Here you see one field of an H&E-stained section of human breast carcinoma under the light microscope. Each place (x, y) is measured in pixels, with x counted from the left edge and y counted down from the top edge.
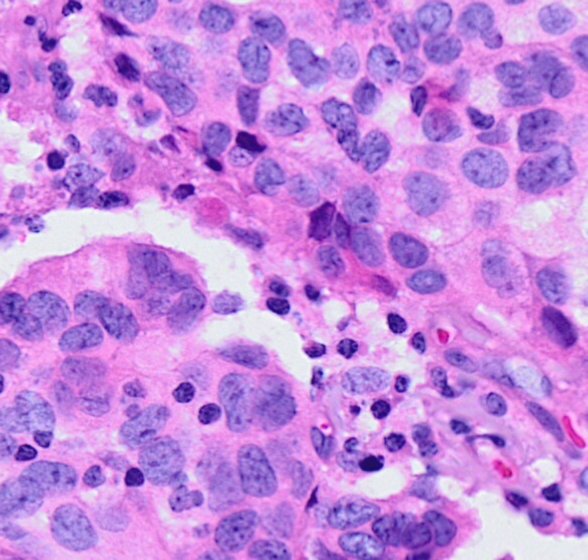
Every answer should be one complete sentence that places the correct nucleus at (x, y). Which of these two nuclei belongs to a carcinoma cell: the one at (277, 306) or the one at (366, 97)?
Lying within a carcinoma cell is the nucleus at (366, 97).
